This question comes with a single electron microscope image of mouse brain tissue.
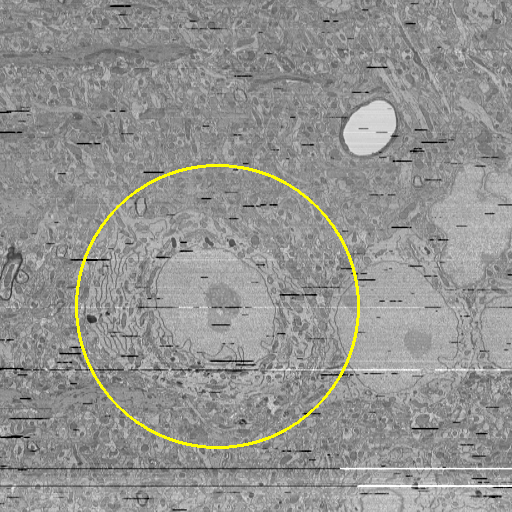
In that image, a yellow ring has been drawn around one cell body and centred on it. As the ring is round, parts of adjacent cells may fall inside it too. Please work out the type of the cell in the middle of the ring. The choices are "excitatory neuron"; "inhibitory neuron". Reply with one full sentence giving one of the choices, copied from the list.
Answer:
Of the choices, an inhibitory neuron is the cell sitting in the middle of the ring.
